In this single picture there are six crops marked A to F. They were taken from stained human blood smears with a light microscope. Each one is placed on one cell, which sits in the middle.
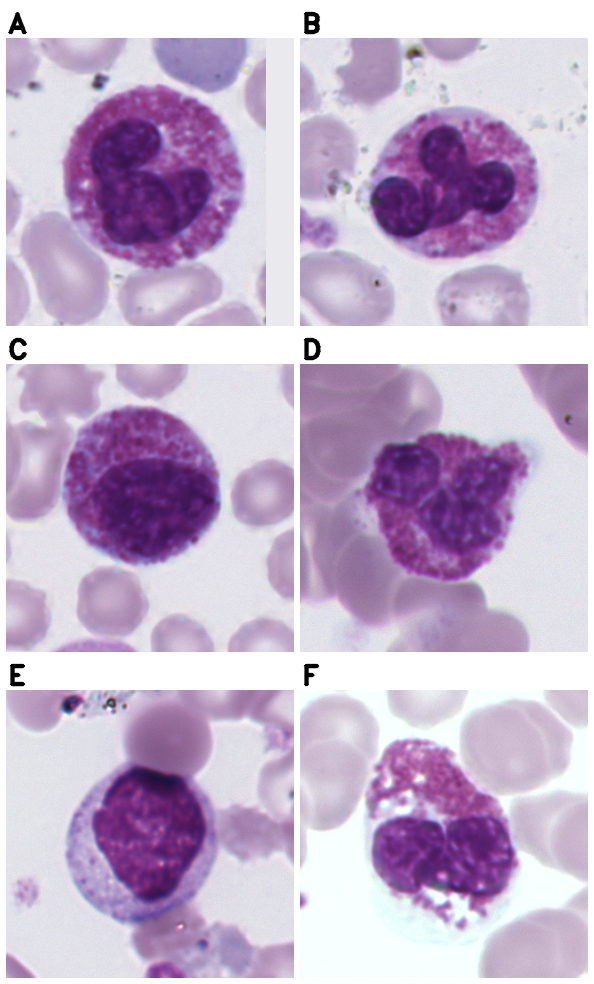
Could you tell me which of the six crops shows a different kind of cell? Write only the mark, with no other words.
E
